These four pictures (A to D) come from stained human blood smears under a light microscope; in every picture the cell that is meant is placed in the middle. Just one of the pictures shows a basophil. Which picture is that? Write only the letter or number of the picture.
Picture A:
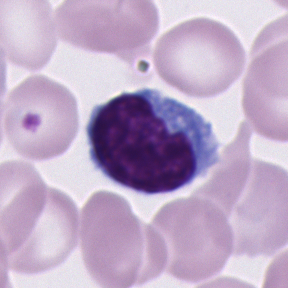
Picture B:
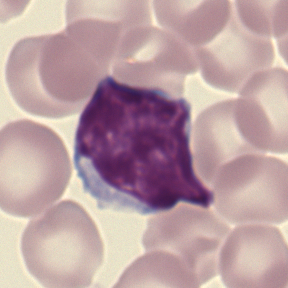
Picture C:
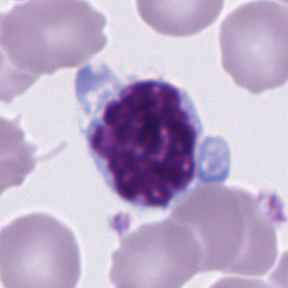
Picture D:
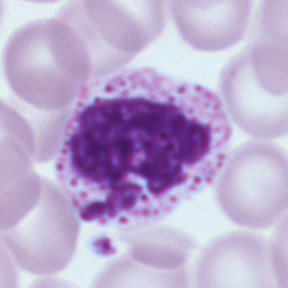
D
